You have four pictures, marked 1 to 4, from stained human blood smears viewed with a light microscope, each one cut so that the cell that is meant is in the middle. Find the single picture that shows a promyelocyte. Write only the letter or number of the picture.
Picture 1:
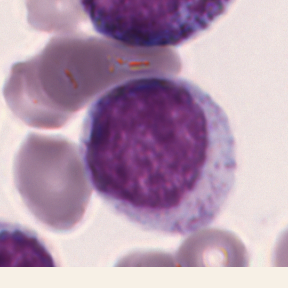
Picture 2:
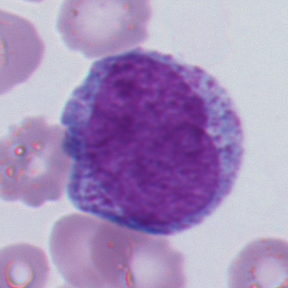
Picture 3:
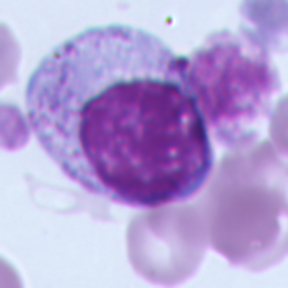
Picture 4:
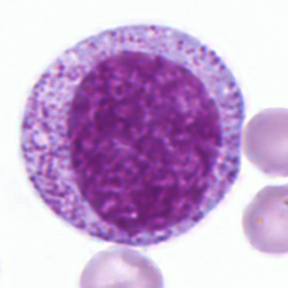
2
